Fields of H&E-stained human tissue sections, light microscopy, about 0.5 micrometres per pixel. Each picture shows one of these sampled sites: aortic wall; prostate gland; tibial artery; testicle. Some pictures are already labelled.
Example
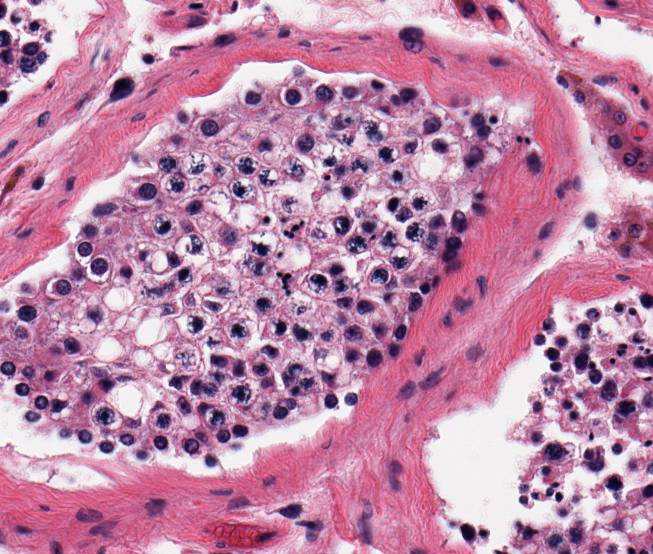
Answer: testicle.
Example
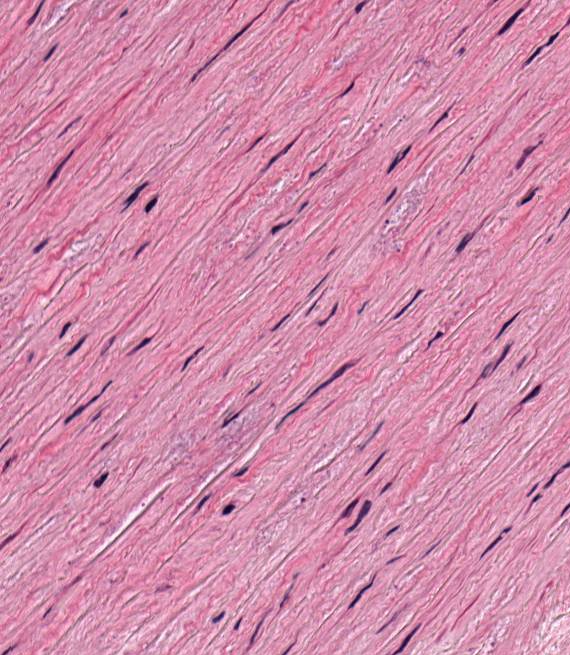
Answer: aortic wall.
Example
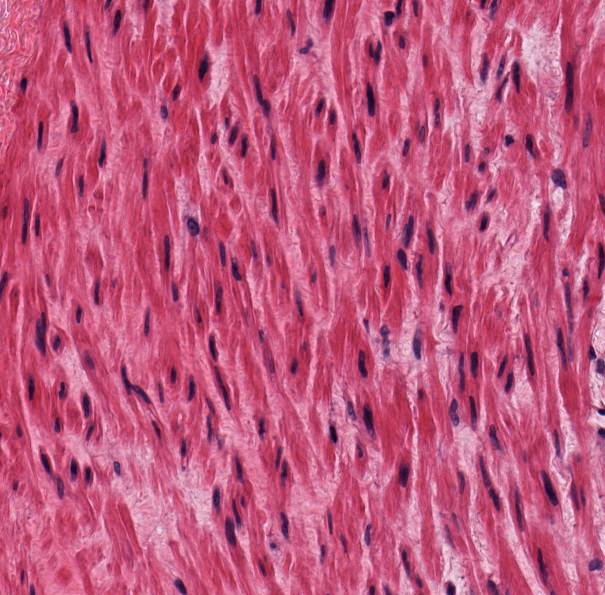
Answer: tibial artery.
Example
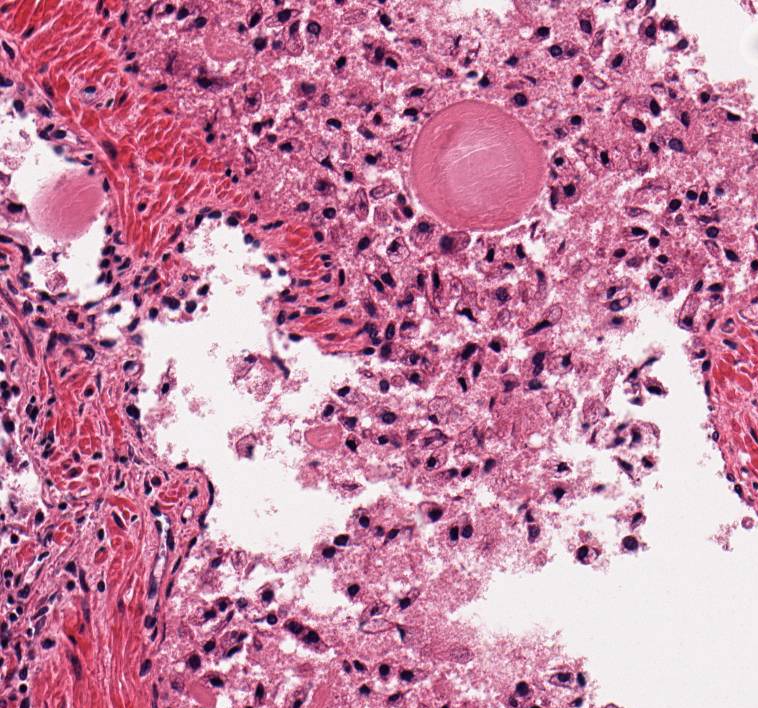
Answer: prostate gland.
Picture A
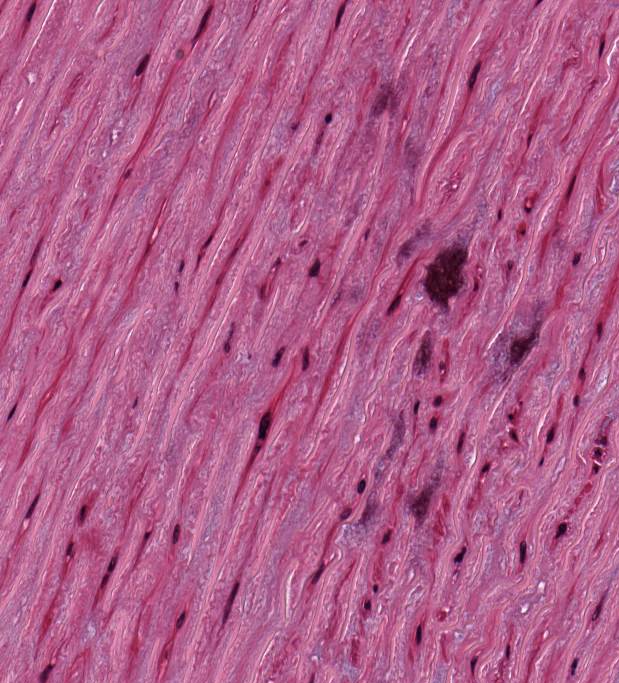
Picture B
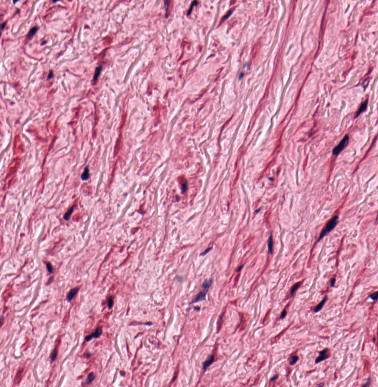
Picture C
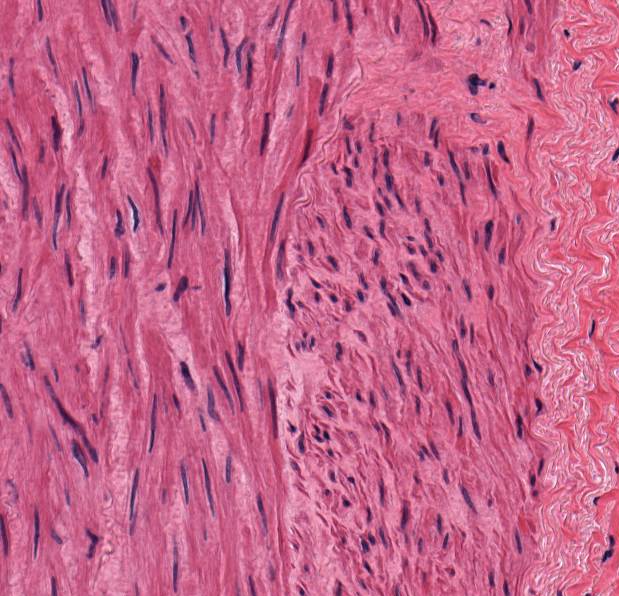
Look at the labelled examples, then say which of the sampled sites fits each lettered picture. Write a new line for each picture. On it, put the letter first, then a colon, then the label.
A: aortic wall.
B: aortic wall.
C: tibial artery.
